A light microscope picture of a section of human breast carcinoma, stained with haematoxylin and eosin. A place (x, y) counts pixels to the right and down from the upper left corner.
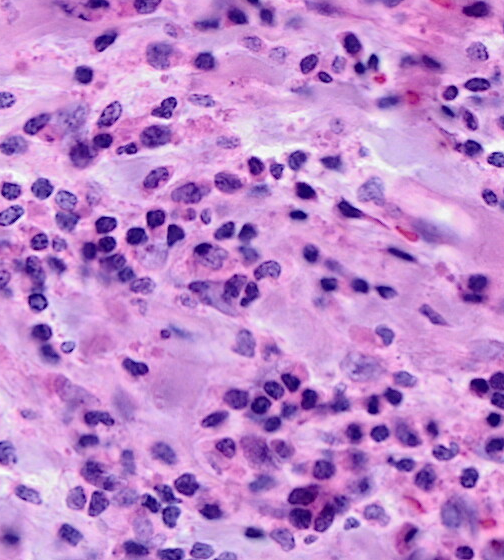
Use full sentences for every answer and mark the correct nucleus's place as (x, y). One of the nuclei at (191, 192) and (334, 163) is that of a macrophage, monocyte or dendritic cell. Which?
The nucleus at (191, 192) is the one that belongs to a macrophage, monocyte or dendritic cell.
